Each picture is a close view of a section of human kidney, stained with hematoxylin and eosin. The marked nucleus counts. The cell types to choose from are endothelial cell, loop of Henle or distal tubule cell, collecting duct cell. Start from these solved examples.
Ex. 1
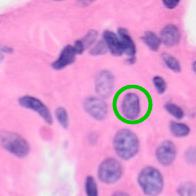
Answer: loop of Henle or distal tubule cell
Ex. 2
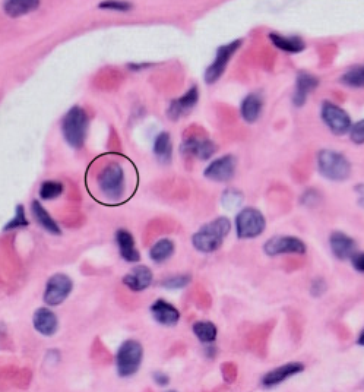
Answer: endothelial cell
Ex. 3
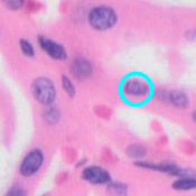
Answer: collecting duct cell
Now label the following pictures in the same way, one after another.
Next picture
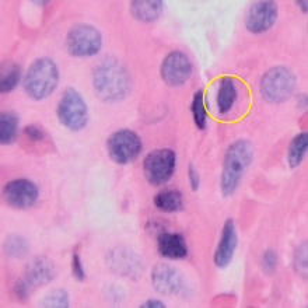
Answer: loop of Henle or distal tubule cell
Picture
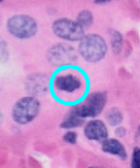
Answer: collecting duct cell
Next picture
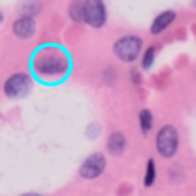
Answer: loop of Henle or distal tubule cell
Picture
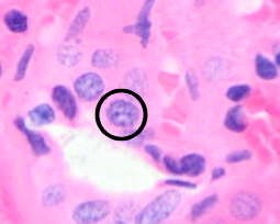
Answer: collecting duct cell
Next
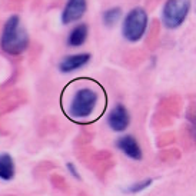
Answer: endothelial cell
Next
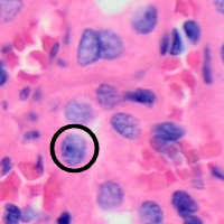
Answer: loop of Henle or distal tubule cell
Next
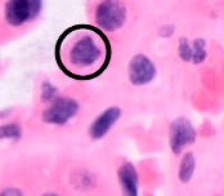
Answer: loop of Henle or distal tubule cell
